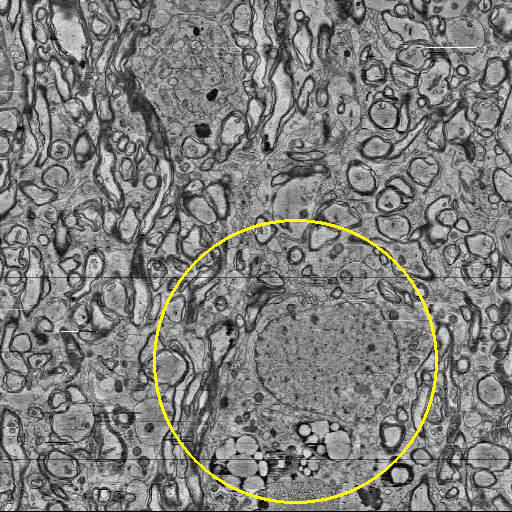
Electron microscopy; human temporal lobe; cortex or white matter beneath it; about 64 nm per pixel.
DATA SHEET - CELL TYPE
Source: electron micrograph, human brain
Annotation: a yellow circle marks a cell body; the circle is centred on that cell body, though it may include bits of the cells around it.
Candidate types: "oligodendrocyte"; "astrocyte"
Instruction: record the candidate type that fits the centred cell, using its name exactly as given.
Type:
astrocyte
